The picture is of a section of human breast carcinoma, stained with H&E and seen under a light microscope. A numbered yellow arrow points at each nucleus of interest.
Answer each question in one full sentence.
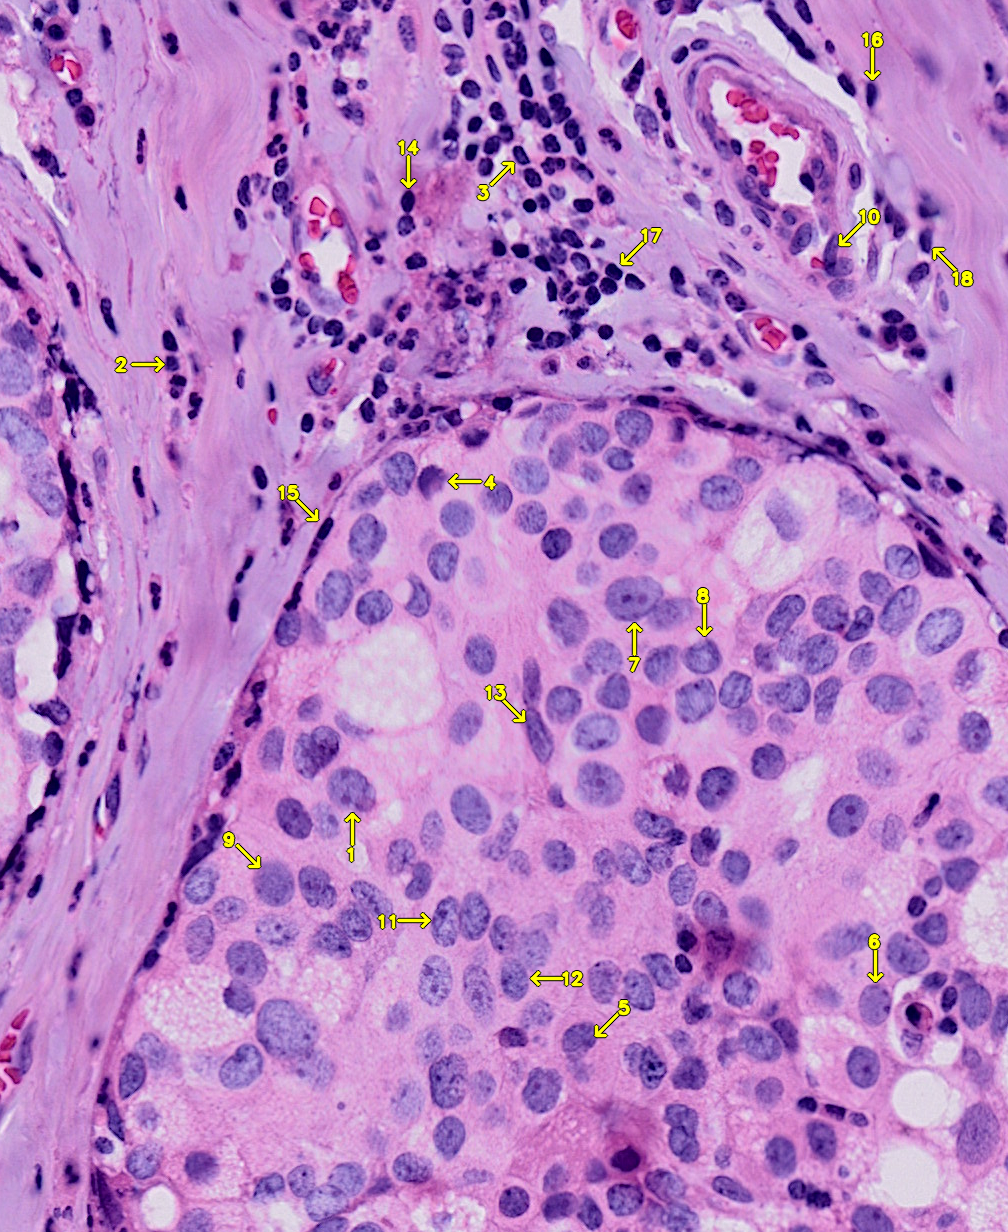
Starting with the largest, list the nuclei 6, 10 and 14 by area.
By area, largest first, they run 6, 10, 14.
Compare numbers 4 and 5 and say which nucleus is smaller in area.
Number 4 is smaller, since number 5 takes up about 2 times as much area.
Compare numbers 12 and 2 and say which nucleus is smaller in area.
Nucleus 2 covers less area, with nucleus 12 about 4 times as large.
